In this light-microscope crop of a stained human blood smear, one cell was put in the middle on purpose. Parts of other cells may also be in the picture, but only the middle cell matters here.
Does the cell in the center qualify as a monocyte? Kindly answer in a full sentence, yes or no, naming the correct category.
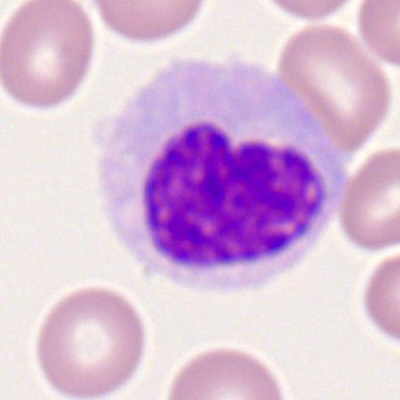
Yes, the centrally placed cell is a monocyte.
